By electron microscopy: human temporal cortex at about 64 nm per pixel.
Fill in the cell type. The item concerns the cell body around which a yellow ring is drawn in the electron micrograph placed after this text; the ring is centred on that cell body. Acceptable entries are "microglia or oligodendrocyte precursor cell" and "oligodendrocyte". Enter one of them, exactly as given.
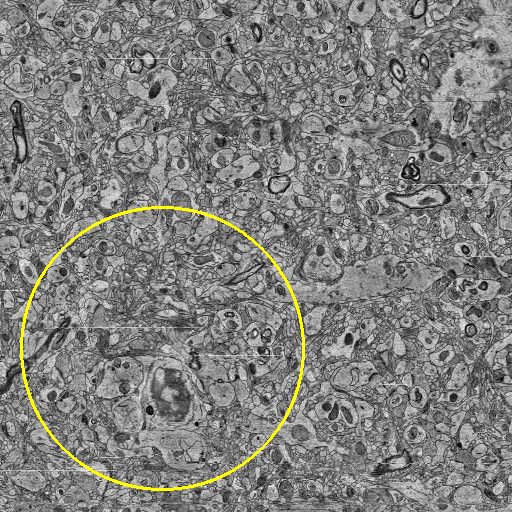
microglia or oligodendrocyte precursor cell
